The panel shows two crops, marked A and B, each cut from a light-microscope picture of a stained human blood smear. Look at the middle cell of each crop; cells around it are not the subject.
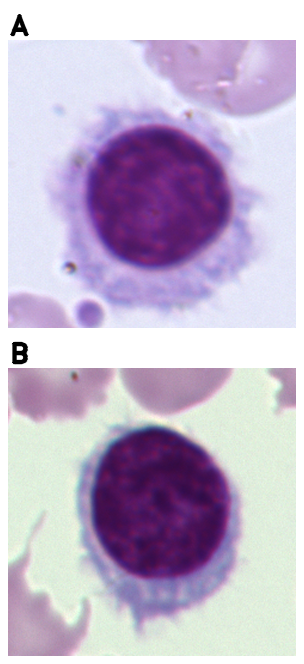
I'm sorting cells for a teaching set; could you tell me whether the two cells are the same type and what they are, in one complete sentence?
Yes, both crops show hairy cells in their central position.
